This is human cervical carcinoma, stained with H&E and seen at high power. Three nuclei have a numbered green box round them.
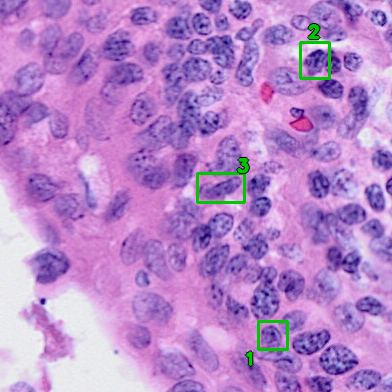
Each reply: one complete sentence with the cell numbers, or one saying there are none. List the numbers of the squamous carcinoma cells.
Identification: the cells with numbers 1 and 3 are squamous carcinoma cells.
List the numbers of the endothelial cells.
None of the cells indicated by numbers are endothelial cells.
